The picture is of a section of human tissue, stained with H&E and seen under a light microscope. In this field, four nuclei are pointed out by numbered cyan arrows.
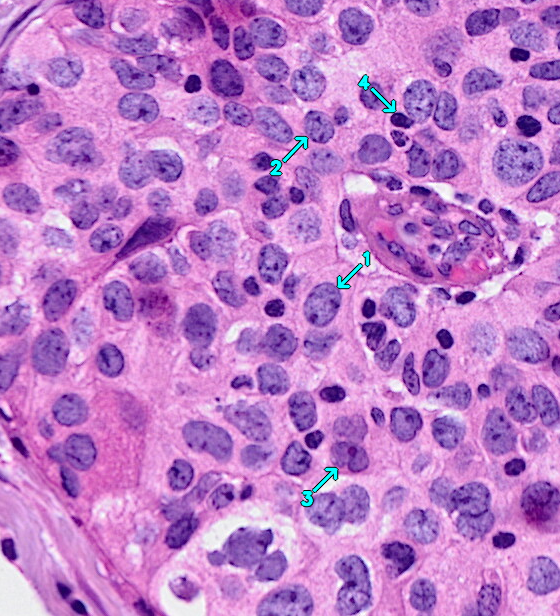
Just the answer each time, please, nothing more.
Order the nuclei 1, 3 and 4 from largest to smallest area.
1, 3, 4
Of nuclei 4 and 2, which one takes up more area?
2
